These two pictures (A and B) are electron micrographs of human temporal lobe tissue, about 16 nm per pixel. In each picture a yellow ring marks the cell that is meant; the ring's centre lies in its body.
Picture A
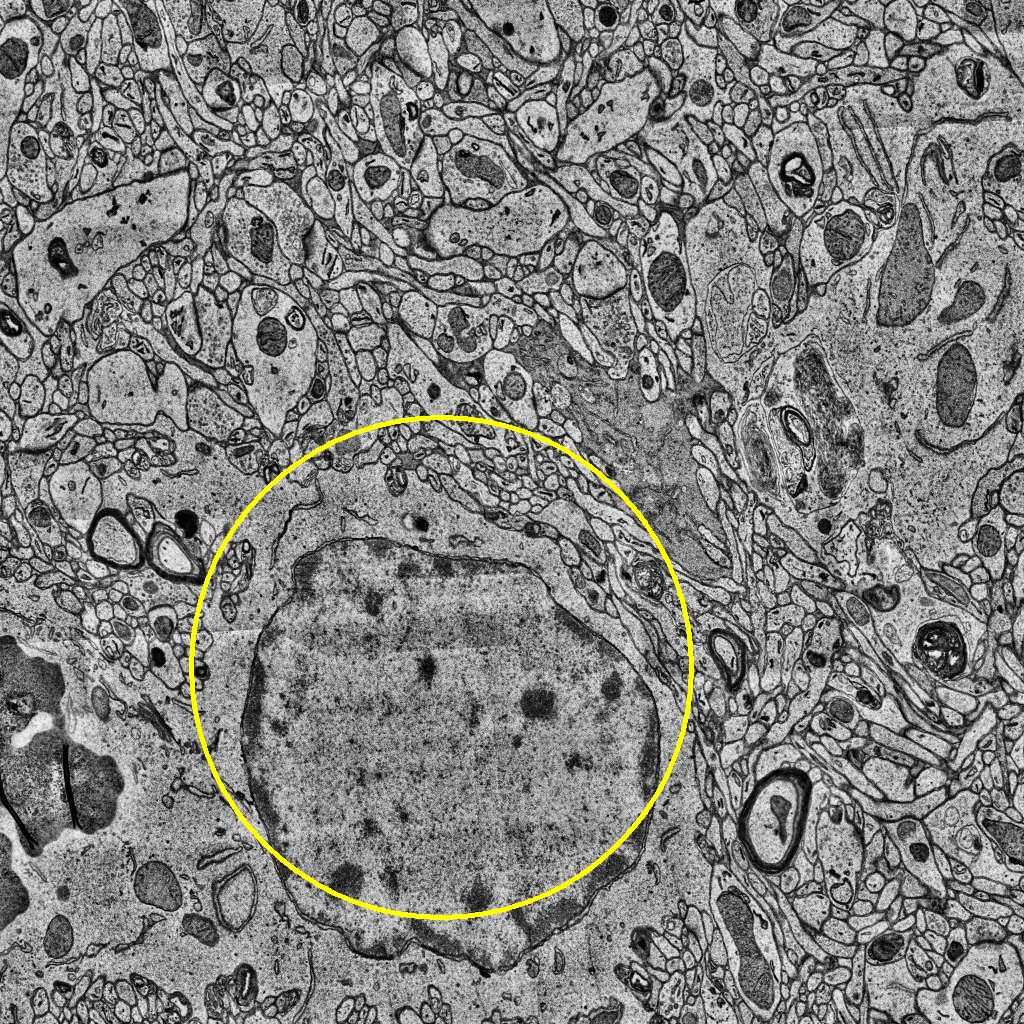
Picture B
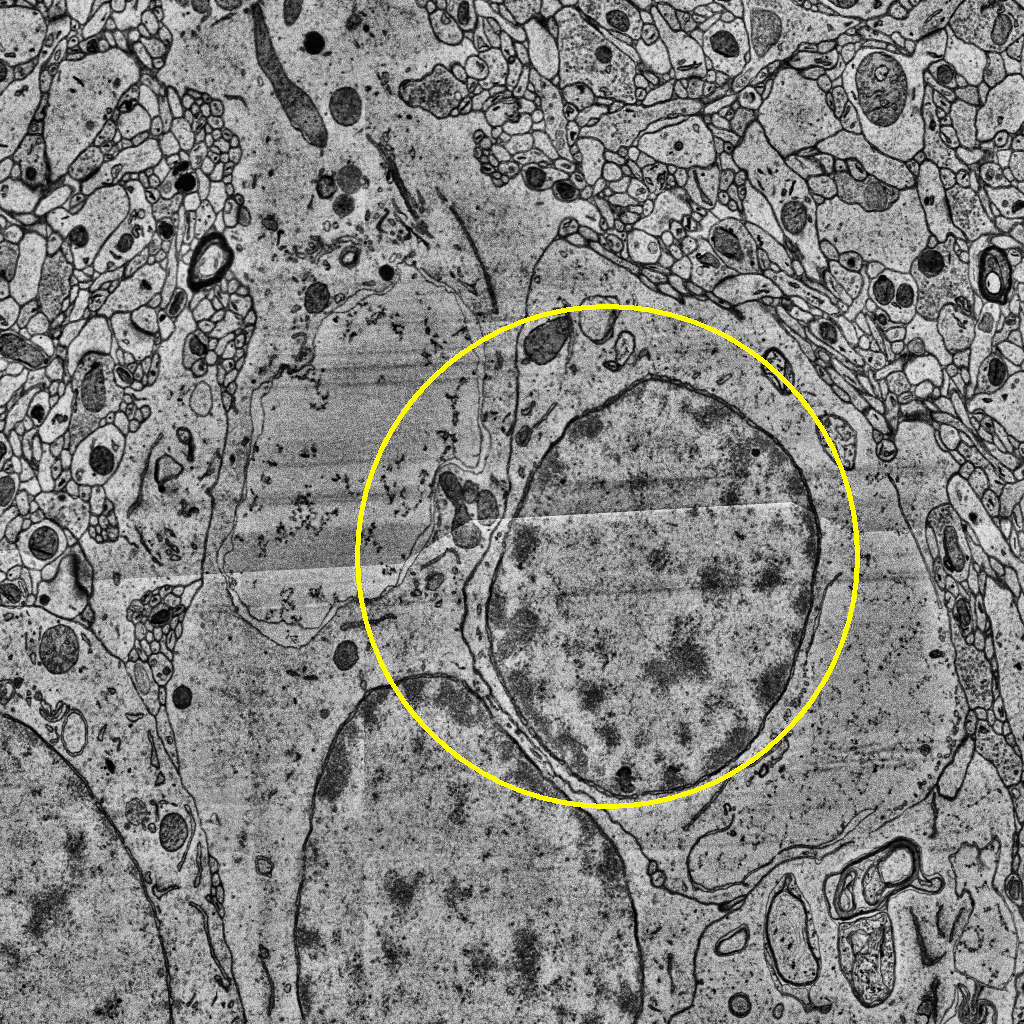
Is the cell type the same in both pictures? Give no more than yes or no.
yes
